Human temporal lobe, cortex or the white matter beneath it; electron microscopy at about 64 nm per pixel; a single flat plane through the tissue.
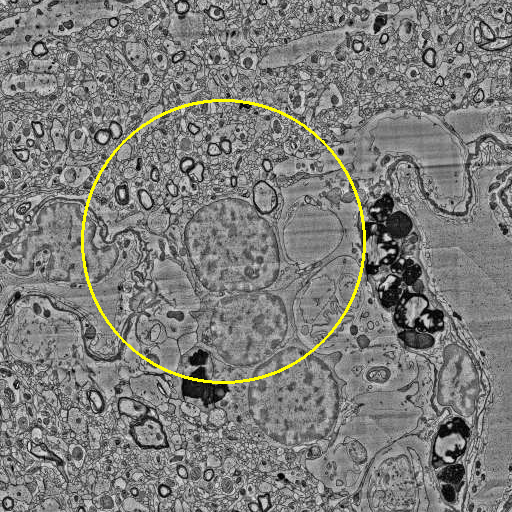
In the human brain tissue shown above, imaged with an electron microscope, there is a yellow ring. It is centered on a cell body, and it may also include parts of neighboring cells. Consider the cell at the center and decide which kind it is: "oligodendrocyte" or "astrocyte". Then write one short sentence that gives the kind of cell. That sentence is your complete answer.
This centered cell body is that of an oligodendrocyte.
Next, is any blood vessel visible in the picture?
Yes, one is visible.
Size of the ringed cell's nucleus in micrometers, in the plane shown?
About 6 micrometers across, in this plane.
